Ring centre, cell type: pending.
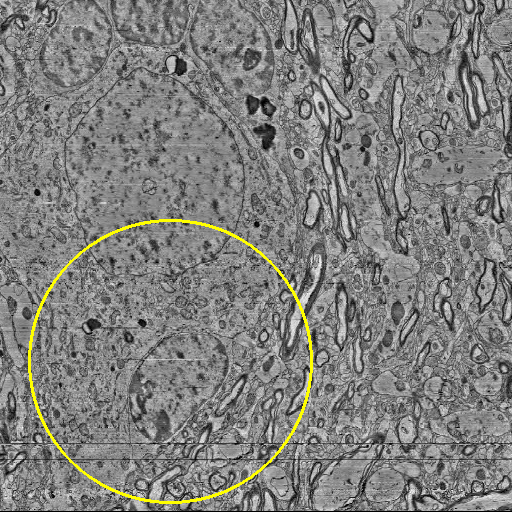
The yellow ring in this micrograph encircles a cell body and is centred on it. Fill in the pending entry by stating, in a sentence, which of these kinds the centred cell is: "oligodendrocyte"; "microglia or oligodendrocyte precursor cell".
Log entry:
The centred cell is recorded as a microglial cell or oligodendrocyte precursor cell.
